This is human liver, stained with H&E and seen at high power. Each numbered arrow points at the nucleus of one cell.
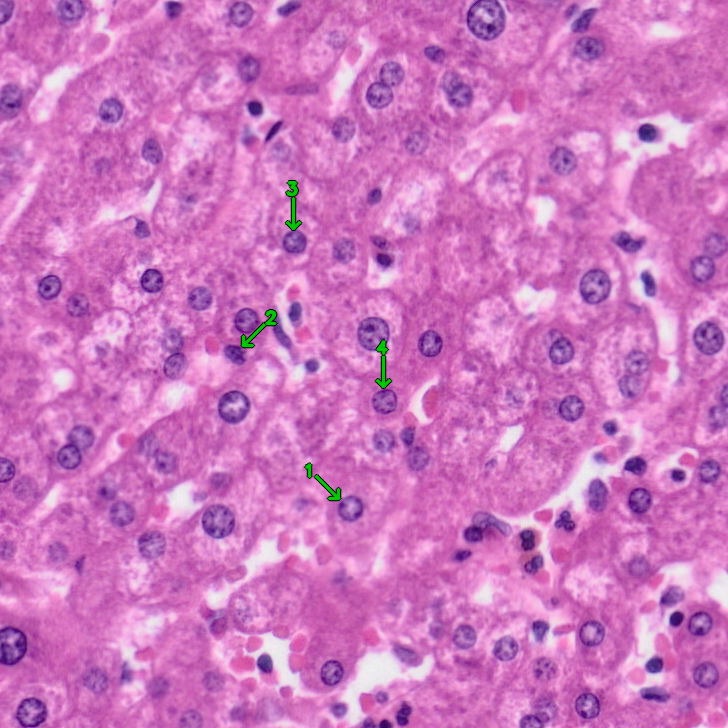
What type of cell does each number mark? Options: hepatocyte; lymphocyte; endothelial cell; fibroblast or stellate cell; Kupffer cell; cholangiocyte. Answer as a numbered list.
1. hepatocyte
2. fibroblast or stellate cell
3. hepatocyte
4. hepatocyte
